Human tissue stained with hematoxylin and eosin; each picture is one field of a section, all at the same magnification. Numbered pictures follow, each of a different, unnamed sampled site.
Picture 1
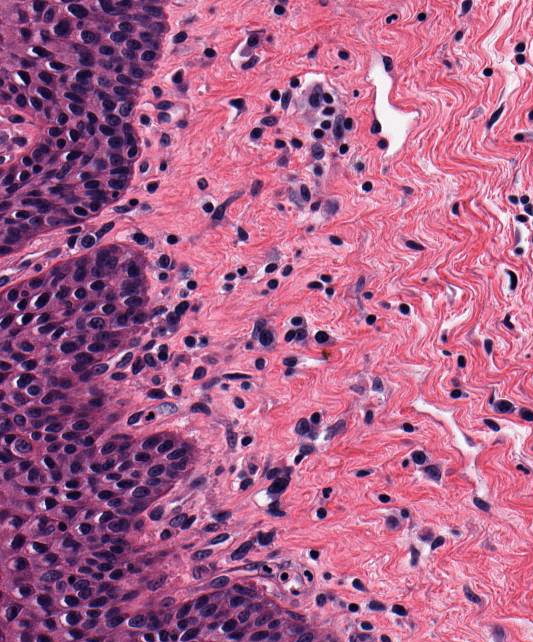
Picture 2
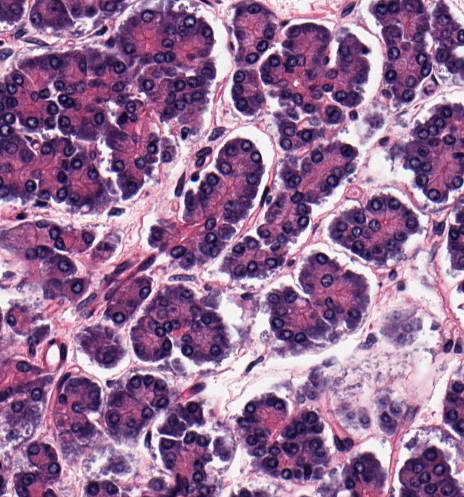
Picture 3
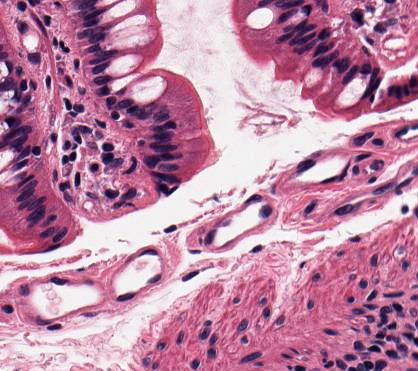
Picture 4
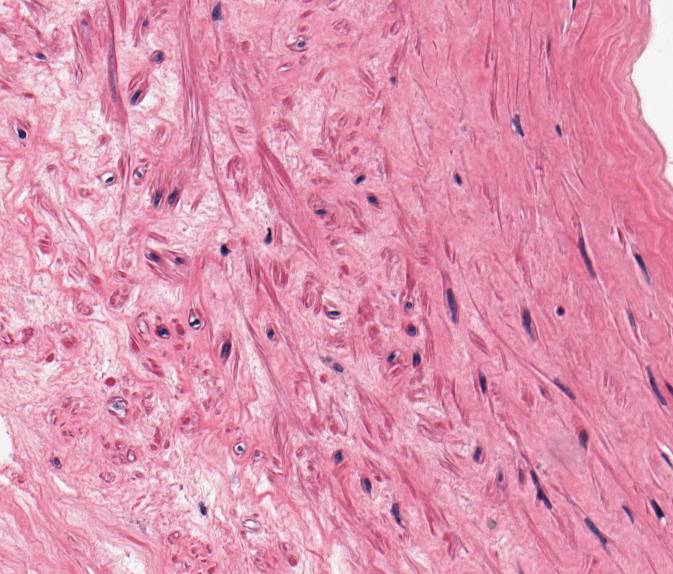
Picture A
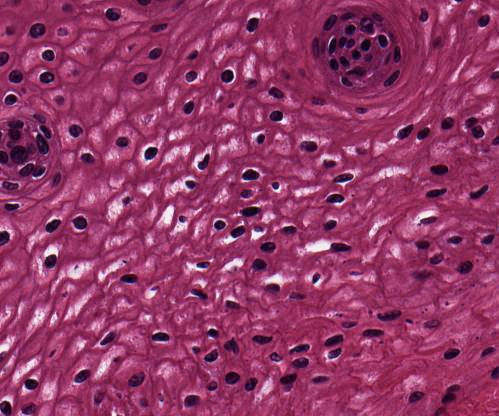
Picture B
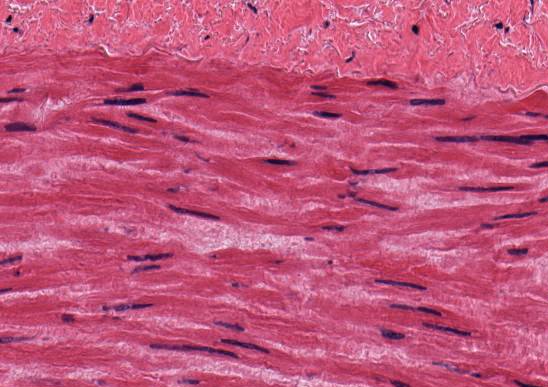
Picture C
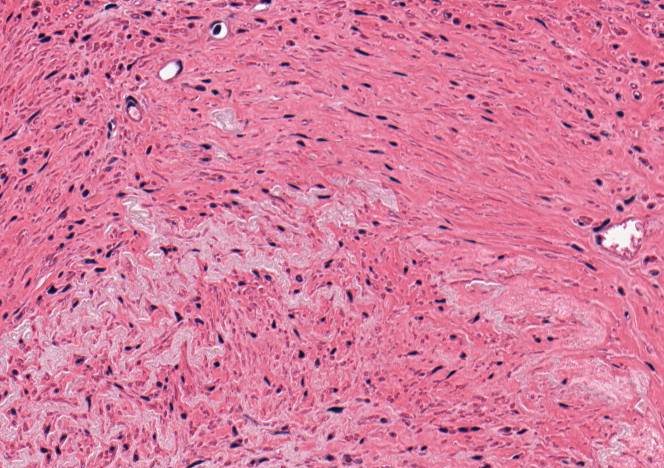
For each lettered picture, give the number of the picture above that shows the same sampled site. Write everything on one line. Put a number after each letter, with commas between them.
A 1, B 4, C 4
